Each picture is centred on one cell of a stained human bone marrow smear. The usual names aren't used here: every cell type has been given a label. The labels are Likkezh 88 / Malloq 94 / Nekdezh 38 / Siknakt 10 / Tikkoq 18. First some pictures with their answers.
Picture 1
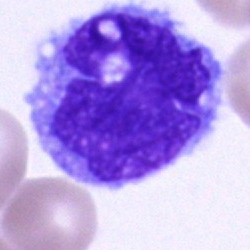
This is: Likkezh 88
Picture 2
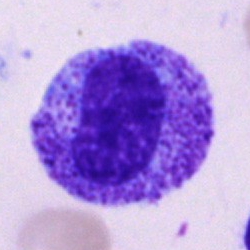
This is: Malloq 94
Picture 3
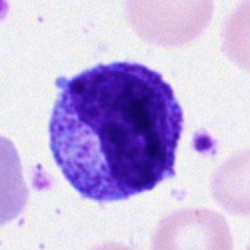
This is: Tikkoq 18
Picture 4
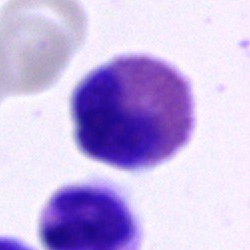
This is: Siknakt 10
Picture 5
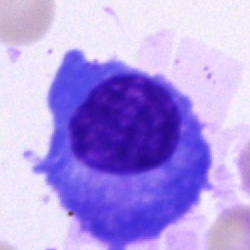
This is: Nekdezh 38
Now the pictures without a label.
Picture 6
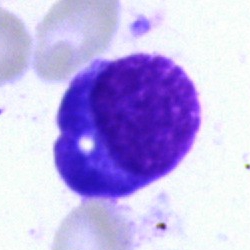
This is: Nekdezh 38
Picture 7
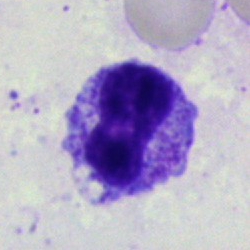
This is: Tikkoq 18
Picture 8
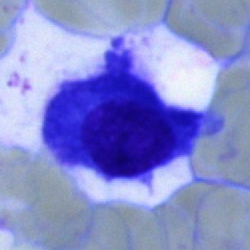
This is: Nekdezh 38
